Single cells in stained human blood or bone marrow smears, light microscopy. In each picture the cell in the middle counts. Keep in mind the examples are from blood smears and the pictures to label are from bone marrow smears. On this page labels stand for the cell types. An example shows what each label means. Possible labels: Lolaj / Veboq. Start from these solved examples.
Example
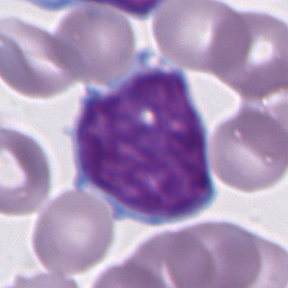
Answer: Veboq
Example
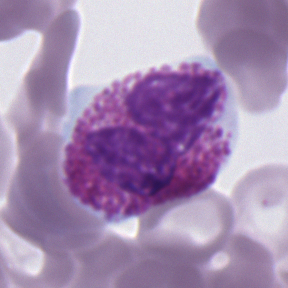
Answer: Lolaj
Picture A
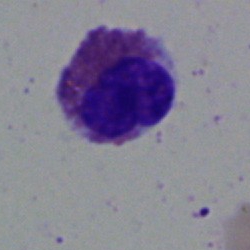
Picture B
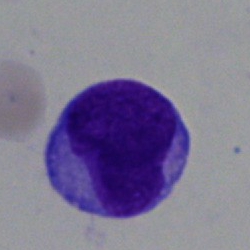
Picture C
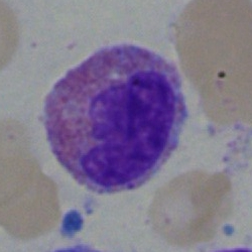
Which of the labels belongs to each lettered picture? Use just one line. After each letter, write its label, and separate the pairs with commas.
A Lolaj, B Veboq, C Lolaj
